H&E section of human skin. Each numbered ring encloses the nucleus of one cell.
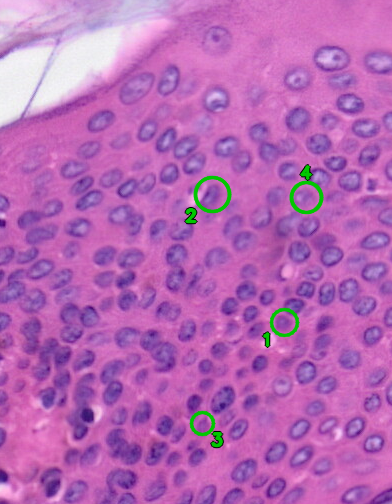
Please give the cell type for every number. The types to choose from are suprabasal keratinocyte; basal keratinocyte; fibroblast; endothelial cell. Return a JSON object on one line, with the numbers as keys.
{"1": "basal keratinocyte", "2": "suprabasal keratinocyte", "3": "basal keratinocyte", "4": "suprabasal keratinocyte"}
